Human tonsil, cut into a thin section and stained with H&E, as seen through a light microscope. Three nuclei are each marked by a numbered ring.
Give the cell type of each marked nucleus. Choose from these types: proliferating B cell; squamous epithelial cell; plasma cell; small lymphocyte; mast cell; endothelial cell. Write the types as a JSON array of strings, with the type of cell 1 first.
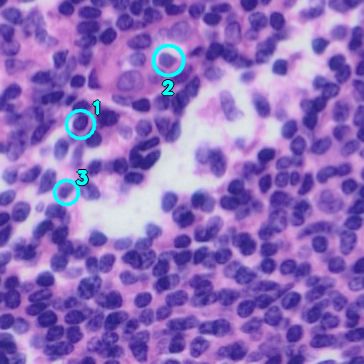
["small lymphocyte", "endothelial cell", "small lymphocyte"]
